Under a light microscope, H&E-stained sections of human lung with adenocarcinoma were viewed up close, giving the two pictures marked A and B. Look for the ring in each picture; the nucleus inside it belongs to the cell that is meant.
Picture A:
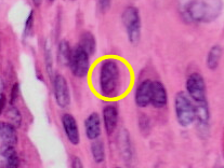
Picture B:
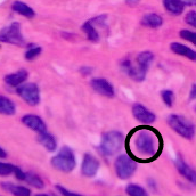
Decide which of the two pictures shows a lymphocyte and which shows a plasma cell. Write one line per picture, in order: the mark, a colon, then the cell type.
A: plasma cell
B: lymphocyte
